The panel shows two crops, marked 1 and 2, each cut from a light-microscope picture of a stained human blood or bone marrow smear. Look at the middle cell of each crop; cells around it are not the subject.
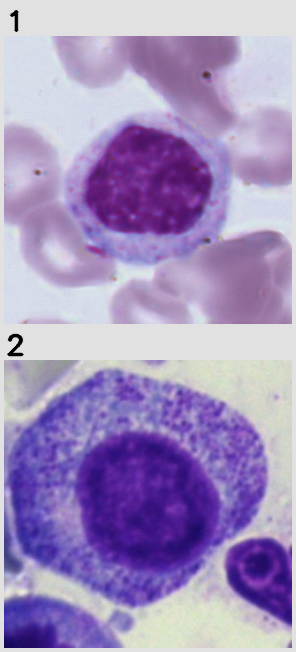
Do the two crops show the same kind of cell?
yes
